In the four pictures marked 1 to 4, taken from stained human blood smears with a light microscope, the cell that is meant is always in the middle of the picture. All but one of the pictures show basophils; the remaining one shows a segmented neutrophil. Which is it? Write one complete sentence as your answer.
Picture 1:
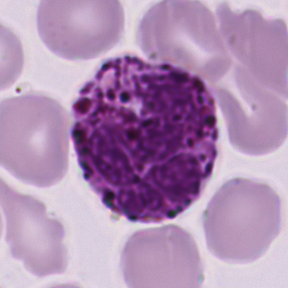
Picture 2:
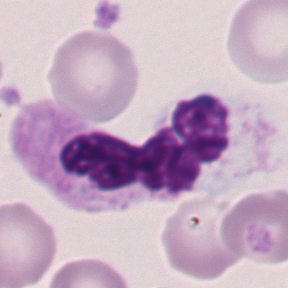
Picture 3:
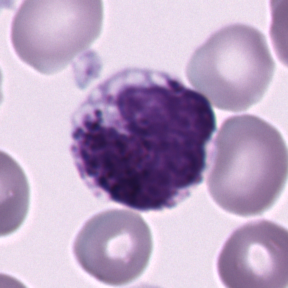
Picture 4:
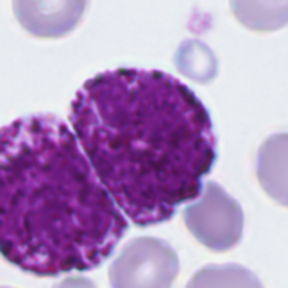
Picture 2 is the one that shows the segmented neutrophil.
